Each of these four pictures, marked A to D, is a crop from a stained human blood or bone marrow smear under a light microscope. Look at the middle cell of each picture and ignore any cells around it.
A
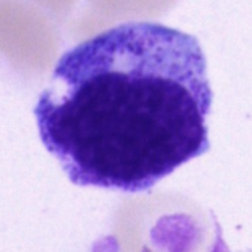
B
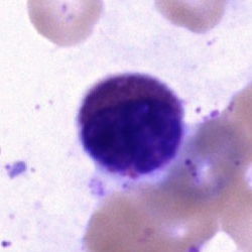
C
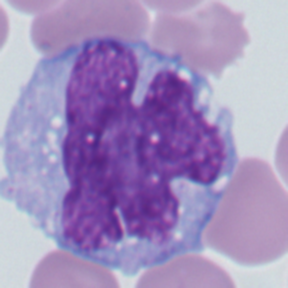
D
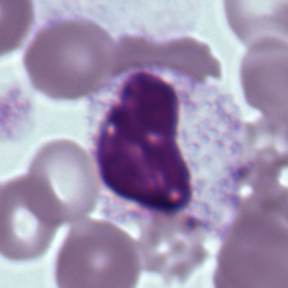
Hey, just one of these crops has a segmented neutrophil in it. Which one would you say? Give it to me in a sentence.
Identified crop: D, the one that shows a segmented neutrophil.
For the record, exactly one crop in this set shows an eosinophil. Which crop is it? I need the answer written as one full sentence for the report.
The correct choice is crop B, the one showing an eosinophil.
